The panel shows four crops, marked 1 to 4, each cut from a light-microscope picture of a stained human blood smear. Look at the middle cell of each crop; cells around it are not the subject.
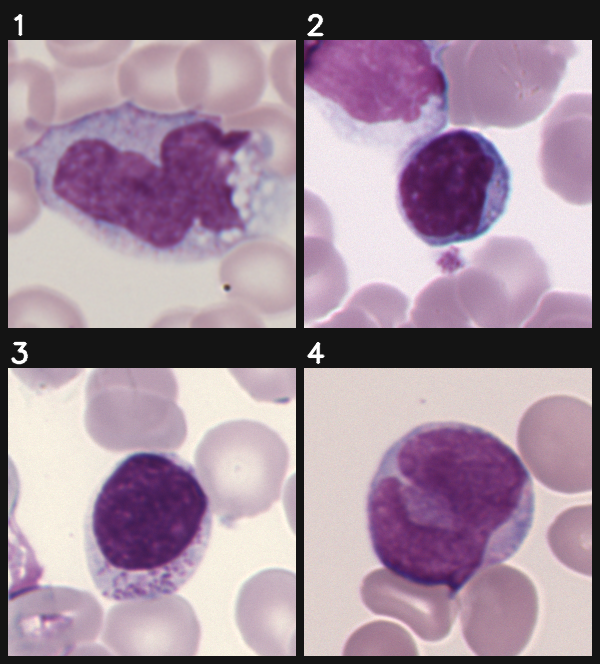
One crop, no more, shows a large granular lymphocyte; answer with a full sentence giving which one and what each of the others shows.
Crop 3 carries a large granular lymphocyte in its middle, whereas crop 1 is a monocyte, crop 2 is a typical lymphocyte and crop 4 is an atypical promyelocyte.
